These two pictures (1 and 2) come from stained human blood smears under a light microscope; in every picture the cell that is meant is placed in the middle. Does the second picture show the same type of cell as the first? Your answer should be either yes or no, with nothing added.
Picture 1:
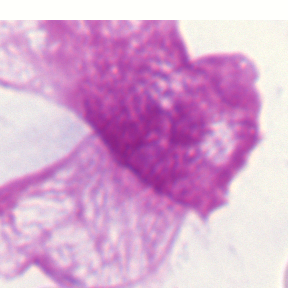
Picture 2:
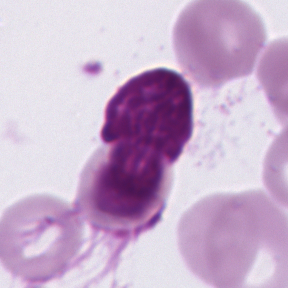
yes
